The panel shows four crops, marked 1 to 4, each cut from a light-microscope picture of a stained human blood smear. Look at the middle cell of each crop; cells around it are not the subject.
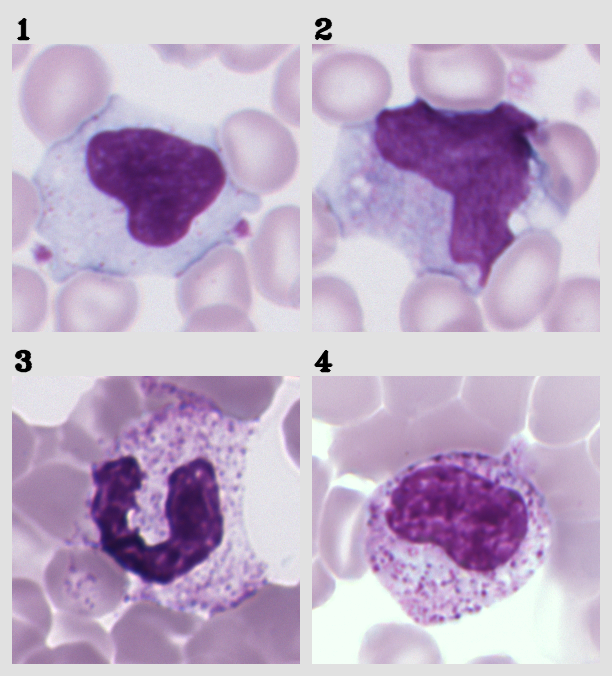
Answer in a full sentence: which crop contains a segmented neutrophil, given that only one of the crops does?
The one crop that shows a segmented neutrophil is crop 3.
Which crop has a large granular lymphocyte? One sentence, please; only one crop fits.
Crop 1 is the crop that shows a large granular lymphocyte in its middle.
